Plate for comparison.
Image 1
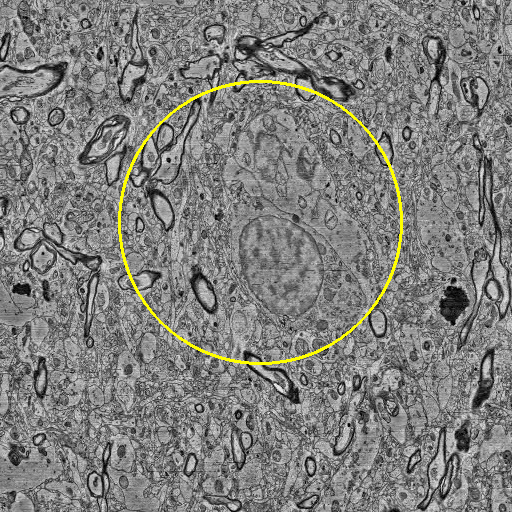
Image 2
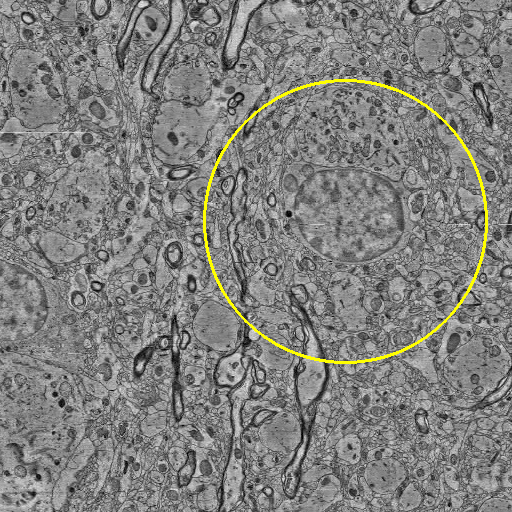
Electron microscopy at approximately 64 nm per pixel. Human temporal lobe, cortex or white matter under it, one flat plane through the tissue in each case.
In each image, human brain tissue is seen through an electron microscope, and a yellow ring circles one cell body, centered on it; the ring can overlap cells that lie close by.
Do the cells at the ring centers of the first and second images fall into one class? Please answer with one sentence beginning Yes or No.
Yes, the first and second images show a single class of cell at the ring centers.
